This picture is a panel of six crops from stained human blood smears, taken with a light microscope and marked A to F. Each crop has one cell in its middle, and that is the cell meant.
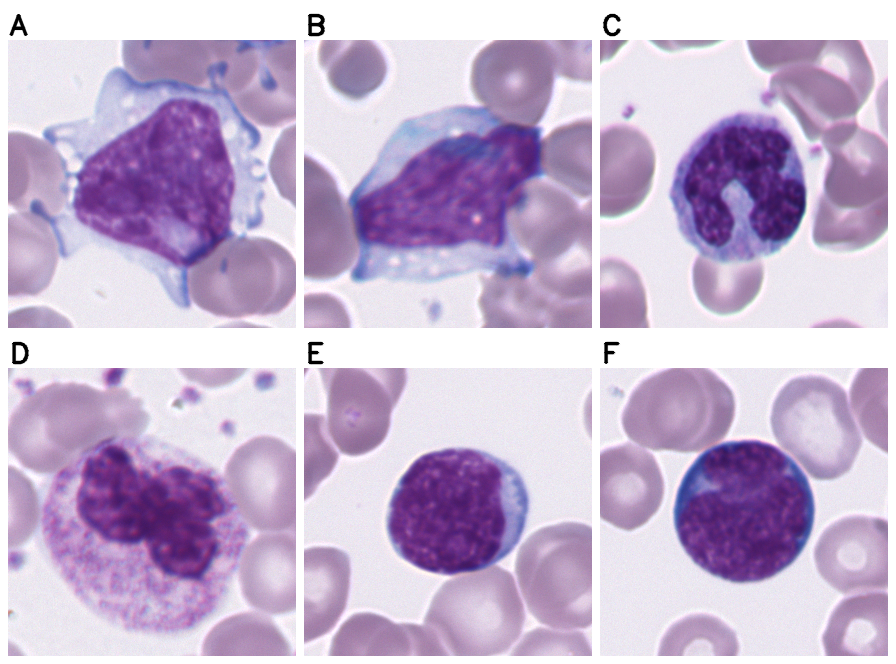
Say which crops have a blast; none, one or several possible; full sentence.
The cells marked A, B, E and F are blasts.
